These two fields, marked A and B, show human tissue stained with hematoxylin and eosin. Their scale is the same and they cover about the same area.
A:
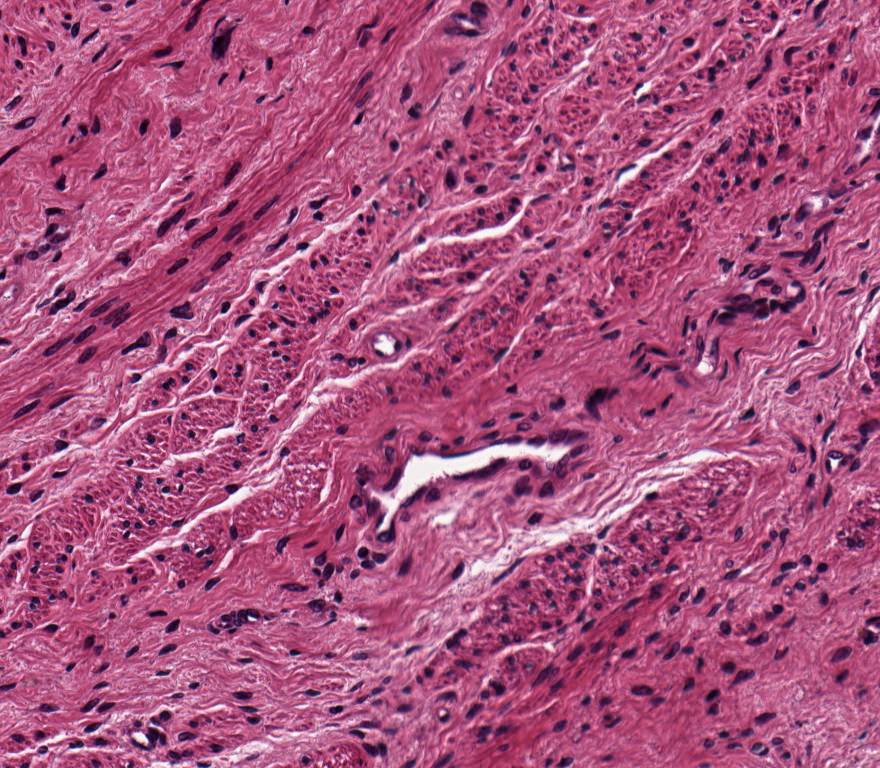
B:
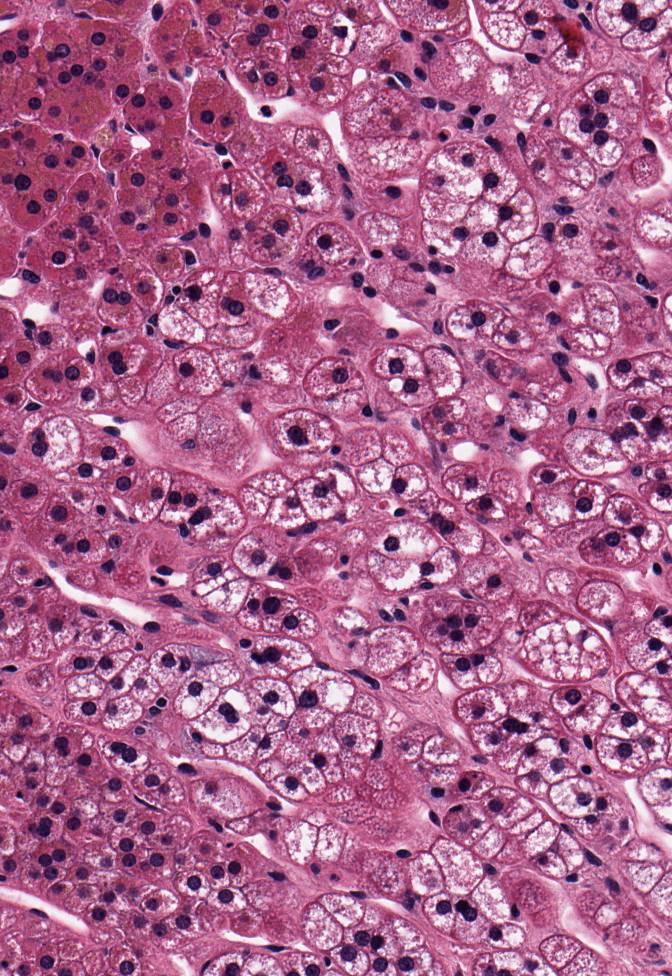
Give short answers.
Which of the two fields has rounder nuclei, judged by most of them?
B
